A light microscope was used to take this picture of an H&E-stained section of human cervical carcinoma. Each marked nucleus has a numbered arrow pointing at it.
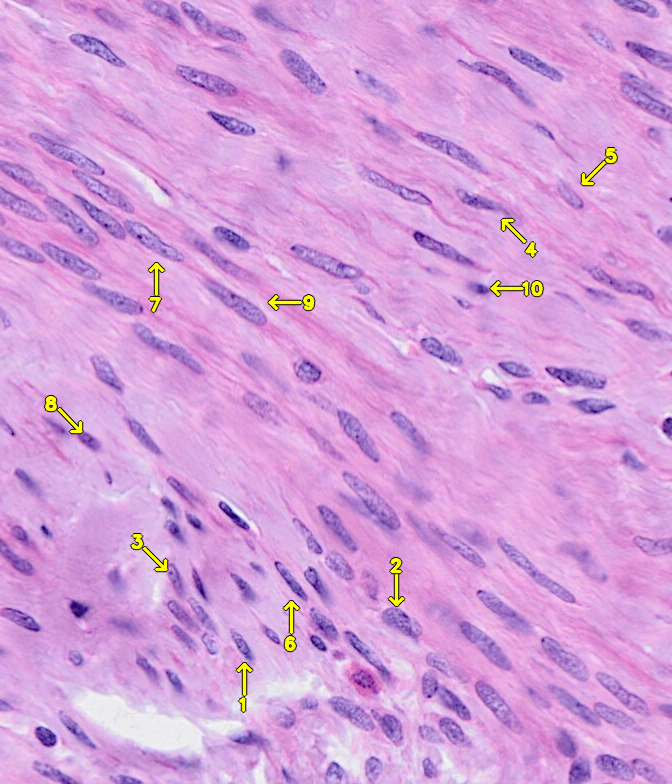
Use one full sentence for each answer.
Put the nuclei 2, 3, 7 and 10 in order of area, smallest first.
By area, going up from the smallest, they rank 10, 3, 2, 7.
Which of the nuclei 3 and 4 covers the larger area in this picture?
Nucleus 4 is the larger one, covering about 2 times the area of nucleus 3.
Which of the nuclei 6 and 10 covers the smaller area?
The smaller nucleus is 10, and 6 covers roughly 2.5 times its area.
